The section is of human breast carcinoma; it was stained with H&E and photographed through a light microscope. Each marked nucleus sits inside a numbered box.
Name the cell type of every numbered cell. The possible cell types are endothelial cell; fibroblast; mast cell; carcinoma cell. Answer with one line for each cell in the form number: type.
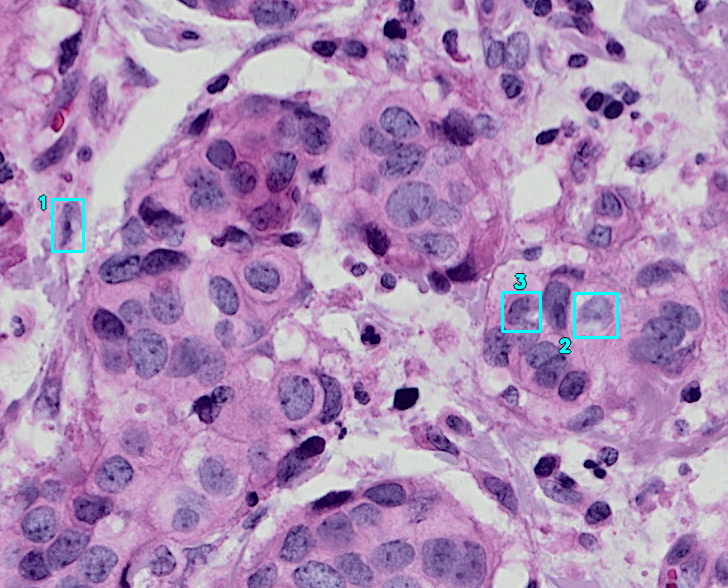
1: fibroblast
2: carcinoma cell
3: carcinoma cell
